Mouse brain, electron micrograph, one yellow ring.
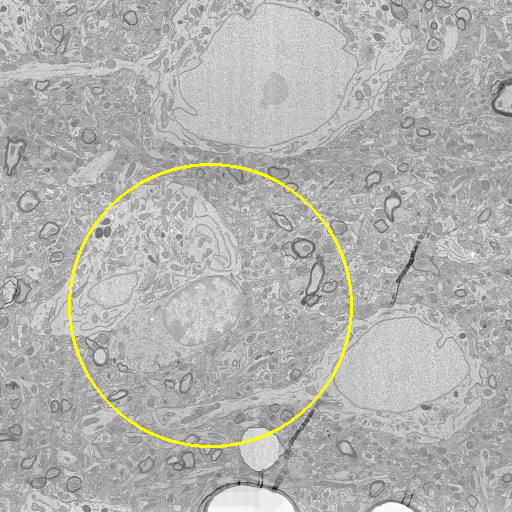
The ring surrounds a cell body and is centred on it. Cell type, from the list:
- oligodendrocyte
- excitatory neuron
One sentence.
The yellow ring circles an oligodendrocyte.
